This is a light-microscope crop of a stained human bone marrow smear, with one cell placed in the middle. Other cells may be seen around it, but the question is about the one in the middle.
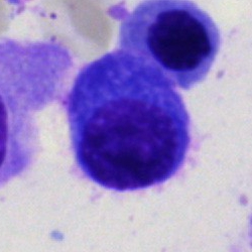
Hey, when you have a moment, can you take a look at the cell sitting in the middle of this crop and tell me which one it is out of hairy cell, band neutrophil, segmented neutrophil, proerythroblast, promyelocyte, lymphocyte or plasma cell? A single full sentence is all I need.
The cell in the middle of this crop is a plasma cell.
